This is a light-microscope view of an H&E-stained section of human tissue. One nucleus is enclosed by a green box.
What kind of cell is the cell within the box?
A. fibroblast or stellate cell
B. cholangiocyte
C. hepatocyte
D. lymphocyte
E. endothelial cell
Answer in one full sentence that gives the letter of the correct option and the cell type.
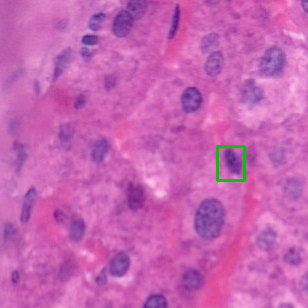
Identified correctly by option A, the cell within the box is a fibroblast or stellate cell.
